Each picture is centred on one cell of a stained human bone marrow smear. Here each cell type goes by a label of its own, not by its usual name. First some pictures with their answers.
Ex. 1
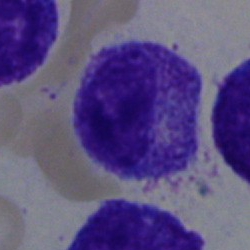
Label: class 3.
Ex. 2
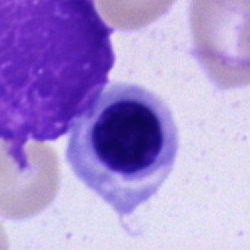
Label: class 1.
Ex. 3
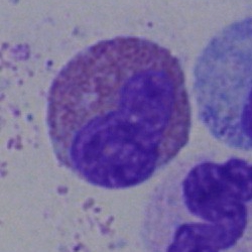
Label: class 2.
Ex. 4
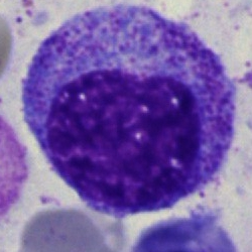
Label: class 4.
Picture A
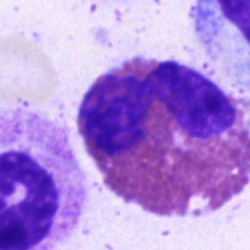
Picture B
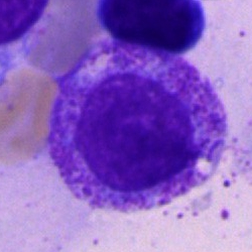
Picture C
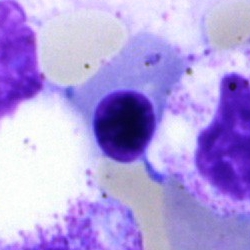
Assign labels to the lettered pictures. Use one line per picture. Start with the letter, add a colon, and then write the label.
A: class 2.
B: class 4.
C: class 1.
